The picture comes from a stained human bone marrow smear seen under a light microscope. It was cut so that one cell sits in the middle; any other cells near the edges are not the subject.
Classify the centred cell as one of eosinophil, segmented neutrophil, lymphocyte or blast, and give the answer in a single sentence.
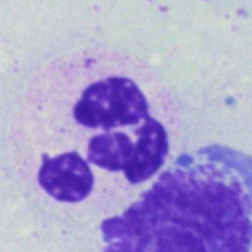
In short, the cell at the center is a segmented neutrophil.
